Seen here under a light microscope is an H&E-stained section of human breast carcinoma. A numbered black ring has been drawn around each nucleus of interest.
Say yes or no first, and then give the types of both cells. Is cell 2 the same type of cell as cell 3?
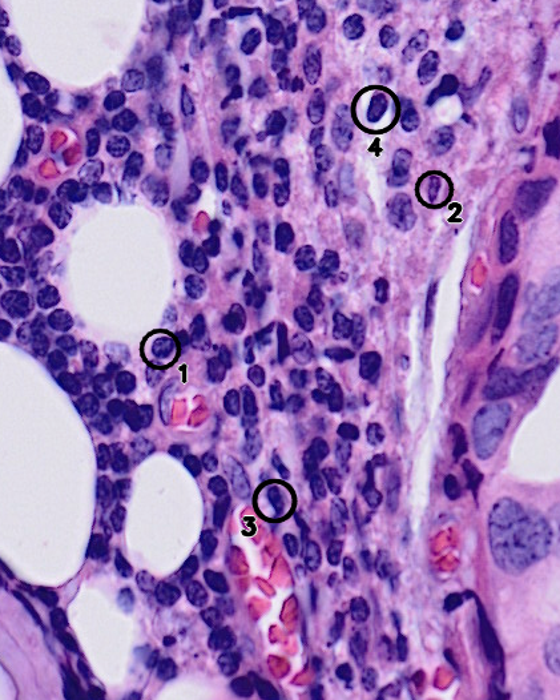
No, the cell numbered 2 is a macrophage, monocyte or dendritic cell and the cell numbered 3 is a lymphocyte.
